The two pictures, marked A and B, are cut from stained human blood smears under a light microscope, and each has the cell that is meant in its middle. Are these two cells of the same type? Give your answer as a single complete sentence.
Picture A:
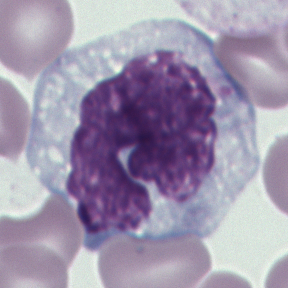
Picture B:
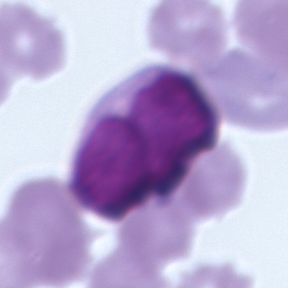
No, picture A shows a monocyte and picture B shows a myeloblast.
